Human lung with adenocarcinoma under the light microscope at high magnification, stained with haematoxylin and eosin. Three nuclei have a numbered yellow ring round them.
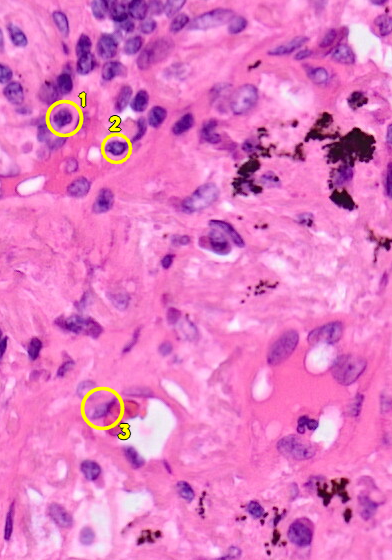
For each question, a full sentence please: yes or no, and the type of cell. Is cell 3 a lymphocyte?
No, an endothelial cell is what cell 3 is, not a lymphocyte.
